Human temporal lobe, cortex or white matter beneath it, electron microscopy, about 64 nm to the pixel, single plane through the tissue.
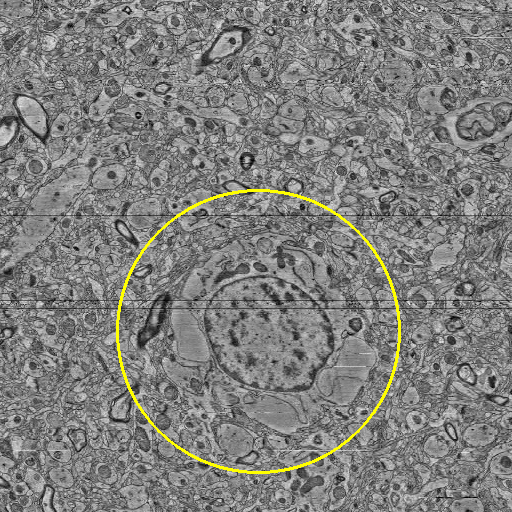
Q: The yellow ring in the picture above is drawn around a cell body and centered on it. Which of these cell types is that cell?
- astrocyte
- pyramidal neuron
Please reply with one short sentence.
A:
The cell body at the ring's center belongs to an astrocyte.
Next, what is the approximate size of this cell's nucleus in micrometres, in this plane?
Roughly 9 by 7 micrometres in this plane, for the nucleus of the ringed cell.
